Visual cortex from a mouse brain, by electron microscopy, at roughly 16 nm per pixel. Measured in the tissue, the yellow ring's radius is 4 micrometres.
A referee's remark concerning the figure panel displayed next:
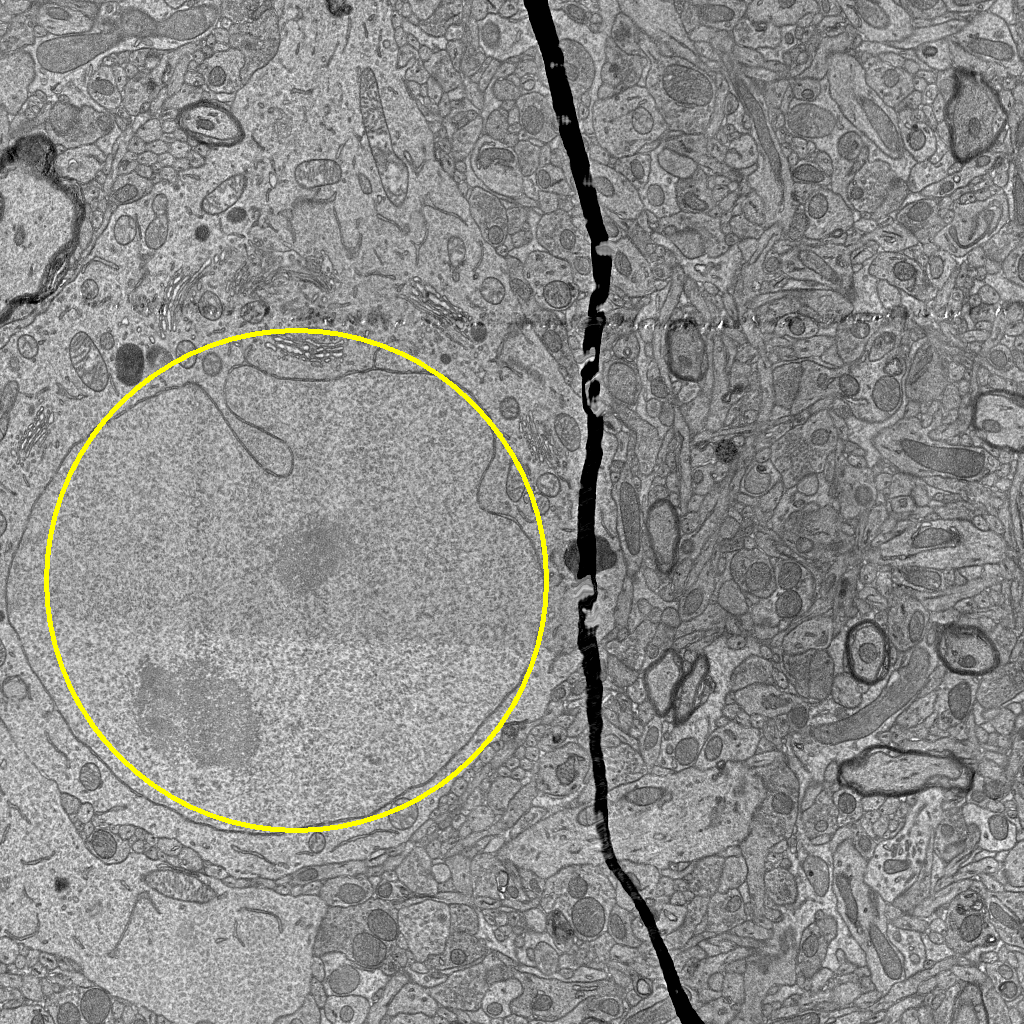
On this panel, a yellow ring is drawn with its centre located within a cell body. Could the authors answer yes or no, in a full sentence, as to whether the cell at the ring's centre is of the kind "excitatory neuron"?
Yes, the cell sitting at the middle of the ring on this panel belongs to that kind.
